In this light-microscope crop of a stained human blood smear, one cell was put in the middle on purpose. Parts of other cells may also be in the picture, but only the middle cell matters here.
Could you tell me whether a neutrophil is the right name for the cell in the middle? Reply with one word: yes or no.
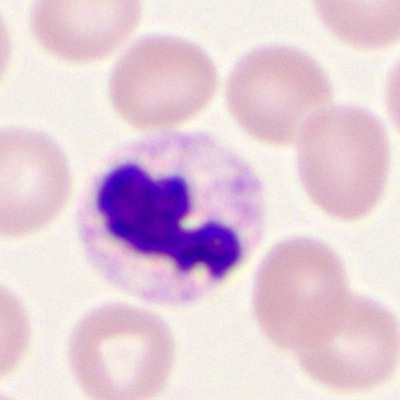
yes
